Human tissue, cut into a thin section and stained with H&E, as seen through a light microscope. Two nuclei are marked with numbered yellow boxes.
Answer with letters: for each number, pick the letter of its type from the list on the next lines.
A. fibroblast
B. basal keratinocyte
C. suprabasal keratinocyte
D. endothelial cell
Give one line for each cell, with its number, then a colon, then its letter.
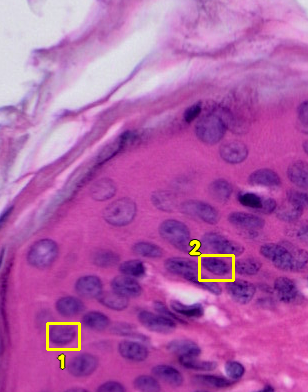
1: C
2: B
